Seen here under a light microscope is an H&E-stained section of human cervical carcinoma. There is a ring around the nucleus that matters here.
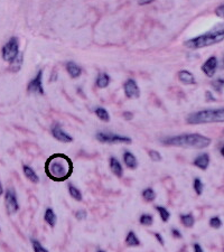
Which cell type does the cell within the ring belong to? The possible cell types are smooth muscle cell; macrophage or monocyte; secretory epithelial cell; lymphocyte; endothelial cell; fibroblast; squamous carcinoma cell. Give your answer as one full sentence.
The expected answer is simply that the cell within the ring is a smooth muscle cell.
